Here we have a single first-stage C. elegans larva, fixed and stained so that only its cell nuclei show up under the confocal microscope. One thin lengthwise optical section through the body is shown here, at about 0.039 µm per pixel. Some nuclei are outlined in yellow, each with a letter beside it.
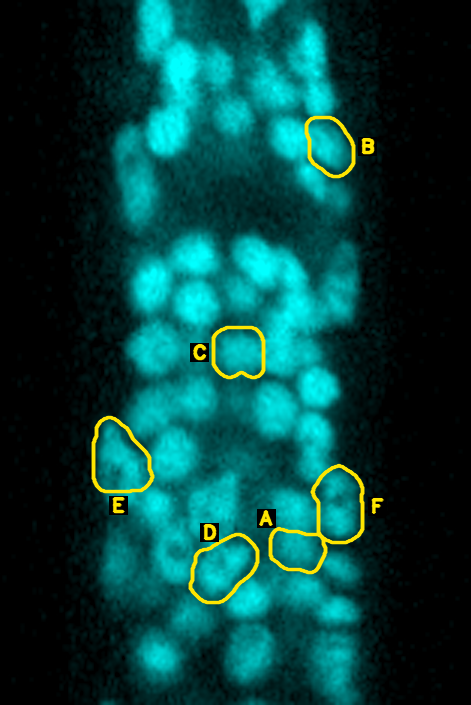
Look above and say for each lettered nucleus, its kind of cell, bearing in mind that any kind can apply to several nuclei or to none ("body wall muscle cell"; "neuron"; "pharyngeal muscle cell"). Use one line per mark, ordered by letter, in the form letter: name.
A: neuron
B: neuron
C: neuron
D: pharyngeal muscle cell
E: body wall muscle cell
F: body wall muscle cell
